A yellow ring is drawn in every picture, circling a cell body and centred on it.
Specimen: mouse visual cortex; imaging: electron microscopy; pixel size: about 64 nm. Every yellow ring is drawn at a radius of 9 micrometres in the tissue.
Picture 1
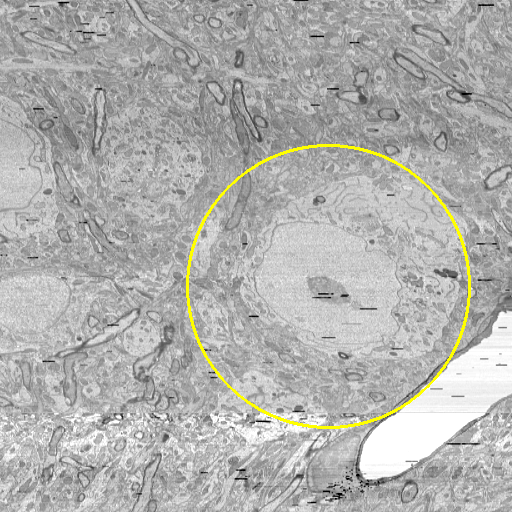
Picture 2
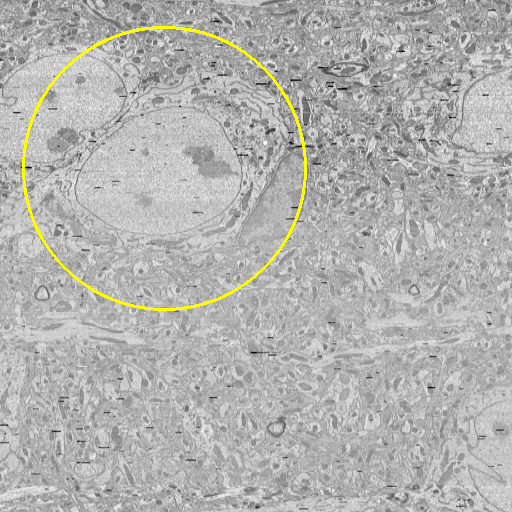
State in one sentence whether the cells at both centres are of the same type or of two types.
The cells at the two ring centres, one per picture, are of the same type.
